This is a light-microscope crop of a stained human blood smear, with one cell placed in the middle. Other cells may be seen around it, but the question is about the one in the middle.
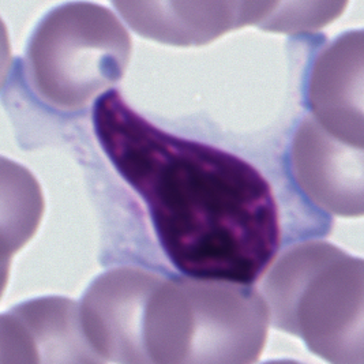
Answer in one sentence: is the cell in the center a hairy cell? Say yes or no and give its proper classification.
No, the cell placed at the center is a typical lymphocyte rather than a hairy cell.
